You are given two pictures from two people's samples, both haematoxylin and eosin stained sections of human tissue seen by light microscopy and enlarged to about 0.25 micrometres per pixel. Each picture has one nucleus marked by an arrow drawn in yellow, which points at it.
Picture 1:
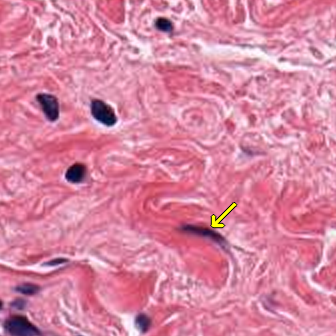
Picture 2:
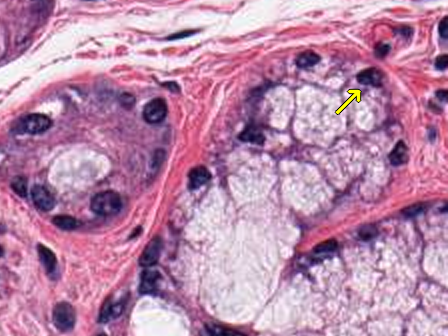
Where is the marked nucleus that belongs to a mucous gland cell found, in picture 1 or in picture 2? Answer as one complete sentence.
The marked nucleus of picture 2 is part of a mucous gland cell.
